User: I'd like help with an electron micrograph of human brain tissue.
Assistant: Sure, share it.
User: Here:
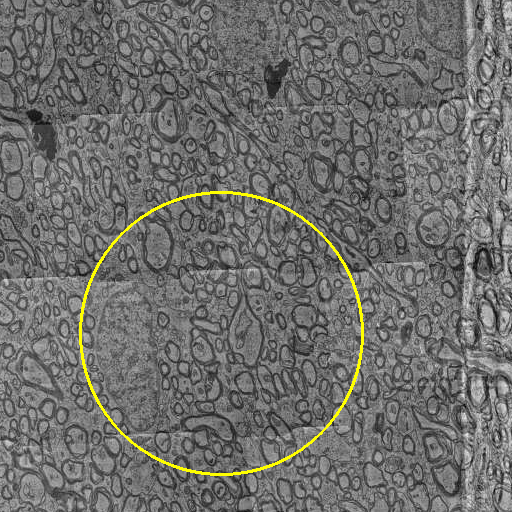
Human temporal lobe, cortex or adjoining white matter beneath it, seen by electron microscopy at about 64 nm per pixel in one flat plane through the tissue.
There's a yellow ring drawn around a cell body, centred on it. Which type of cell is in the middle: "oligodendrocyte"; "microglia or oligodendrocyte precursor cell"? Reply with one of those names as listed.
oligodendrocyte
